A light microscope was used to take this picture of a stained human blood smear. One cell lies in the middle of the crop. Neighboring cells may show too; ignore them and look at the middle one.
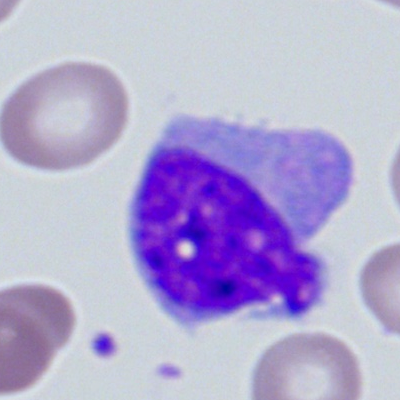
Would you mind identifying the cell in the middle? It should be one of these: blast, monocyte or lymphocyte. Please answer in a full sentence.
The crop shows a monocyte in its centre.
